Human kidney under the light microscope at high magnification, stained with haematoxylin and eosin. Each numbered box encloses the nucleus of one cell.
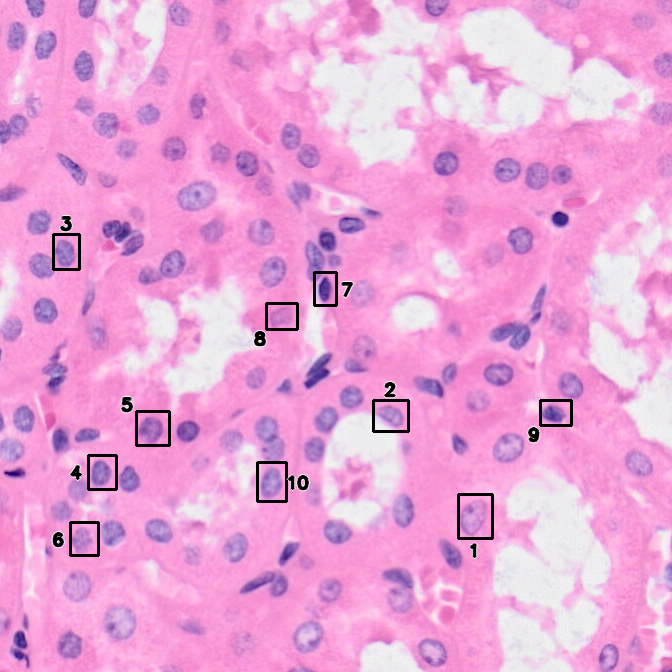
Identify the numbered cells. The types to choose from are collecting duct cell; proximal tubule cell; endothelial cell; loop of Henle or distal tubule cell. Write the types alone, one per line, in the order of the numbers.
proximal tubule cell
loop of Henle or distal tubule cell
loop of Henle or distal tubule cell
loop of Henle or distal tubule cell
proximal tubule cell
loop of Henle or distal tubule cell
endothelial cell
proximal tubule cell
endothelial cell
loop of Henle or distal tubule cell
